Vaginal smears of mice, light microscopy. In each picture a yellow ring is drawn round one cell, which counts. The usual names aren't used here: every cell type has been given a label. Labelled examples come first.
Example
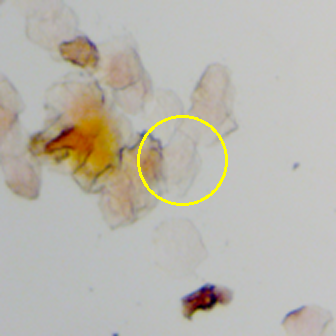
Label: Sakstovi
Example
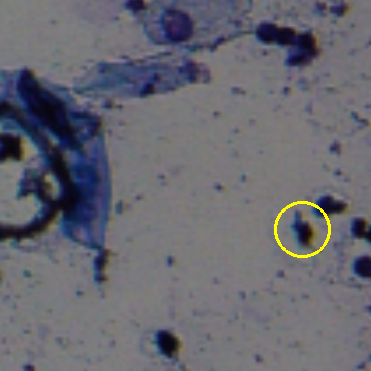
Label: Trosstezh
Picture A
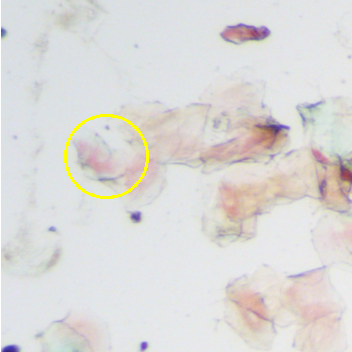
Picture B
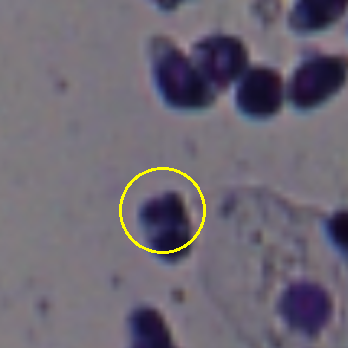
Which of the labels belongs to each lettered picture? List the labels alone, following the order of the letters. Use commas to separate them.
Sakstovi, Trosstezh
